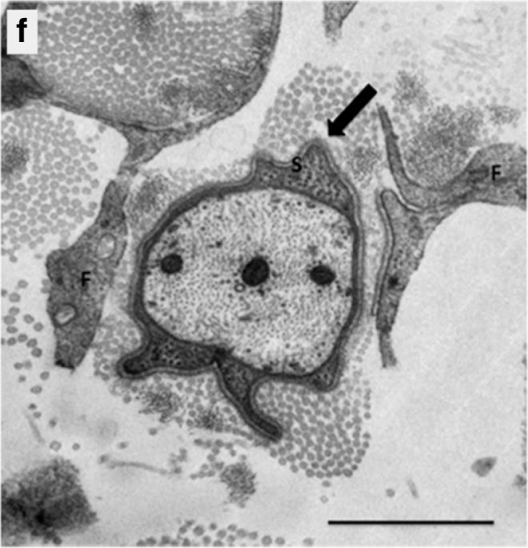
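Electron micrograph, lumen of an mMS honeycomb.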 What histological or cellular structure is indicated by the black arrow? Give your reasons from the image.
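Basal lamina. The arrow points to a thin layer lining the outer surface of the cell wrapping the axon. The layer runs continuously around the outside of the wrapping cell.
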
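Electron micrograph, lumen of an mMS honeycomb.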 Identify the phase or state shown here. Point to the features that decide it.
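A single large axon is surrounded by a thin cytoplasmic sheath of one cell. No thick compact dark myelin layers surround the axon. So: pro-myelinating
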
